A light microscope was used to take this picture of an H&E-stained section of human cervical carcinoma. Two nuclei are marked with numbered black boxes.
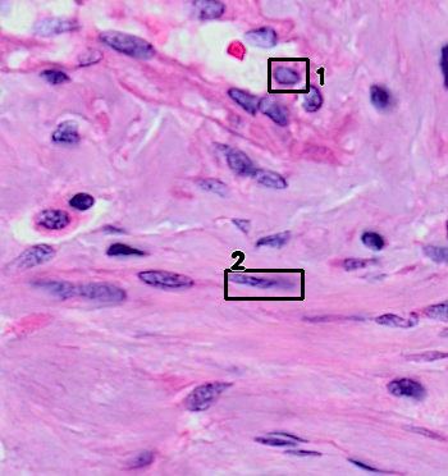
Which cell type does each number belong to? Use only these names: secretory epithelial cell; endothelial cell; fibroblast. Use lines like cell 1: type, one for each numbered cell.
cell 1: endothelial cell
cell 2: fibroblast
